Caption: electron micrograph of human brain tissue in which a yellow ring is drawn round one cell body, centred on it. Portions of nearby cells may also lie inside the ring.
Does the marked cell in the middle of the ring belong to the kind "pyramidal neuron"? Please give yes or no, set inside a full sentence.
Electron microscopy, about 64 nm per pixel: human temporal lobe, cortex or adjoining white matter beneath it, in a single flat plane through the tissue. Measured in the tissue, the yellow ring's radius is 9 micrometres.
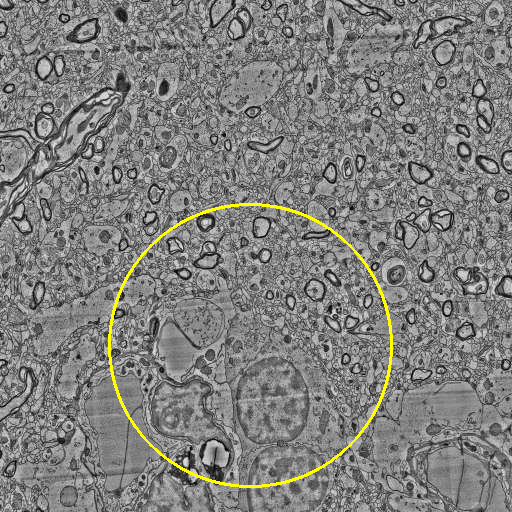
No, the marked cell that the ring is centred on in the picture is of another kind.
